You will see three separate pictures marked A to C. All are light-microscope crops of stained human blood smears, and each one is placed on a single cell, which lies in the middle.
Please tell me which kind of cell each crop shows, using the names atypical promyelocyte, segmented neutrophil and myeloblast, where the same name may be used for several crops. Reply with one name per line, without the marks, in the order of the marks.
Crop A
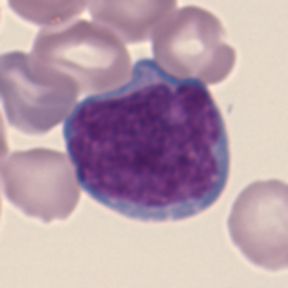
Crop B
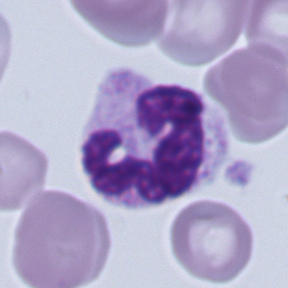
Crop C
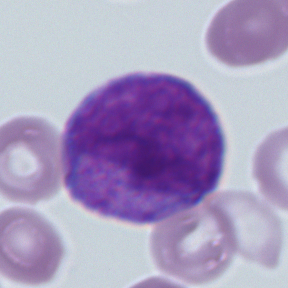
myeloblast
segmented neutrophil
atypical promyelocyte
